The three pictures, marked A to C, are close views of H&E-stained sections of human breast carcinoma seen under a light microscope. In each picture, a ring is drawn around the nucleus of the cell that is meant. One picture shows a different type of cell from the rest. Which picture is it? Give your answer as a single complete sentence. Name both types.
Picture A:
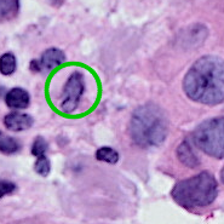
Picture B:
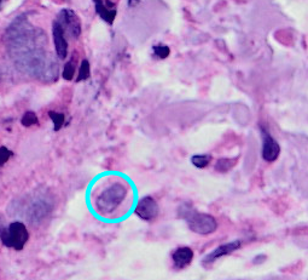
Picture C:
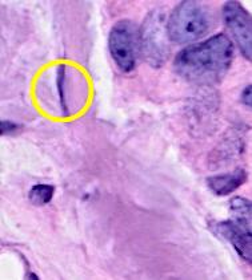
All pictures except C show “macrophages, monocytes or dendritic cells”; picture C shows a fibroblast.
